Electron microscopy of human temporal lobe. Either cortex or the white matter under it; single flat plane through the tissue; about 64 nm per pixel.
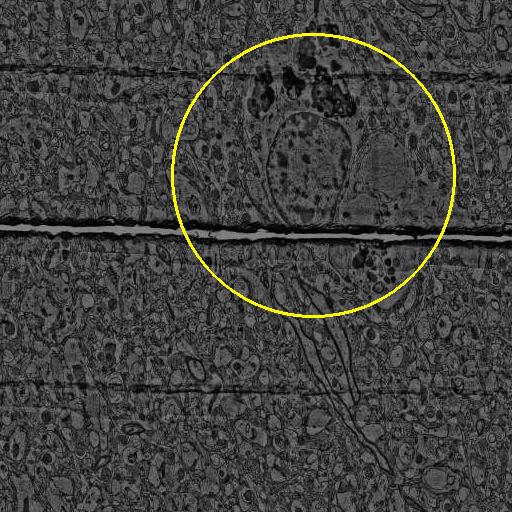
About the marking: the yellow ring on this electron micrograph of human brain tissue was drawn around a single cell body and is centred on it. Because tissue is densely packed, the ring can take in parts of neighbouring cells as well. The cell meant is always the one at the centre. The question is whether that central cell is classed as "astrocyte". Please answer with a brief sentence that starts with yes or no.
Yes, the central cell is classed that way.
